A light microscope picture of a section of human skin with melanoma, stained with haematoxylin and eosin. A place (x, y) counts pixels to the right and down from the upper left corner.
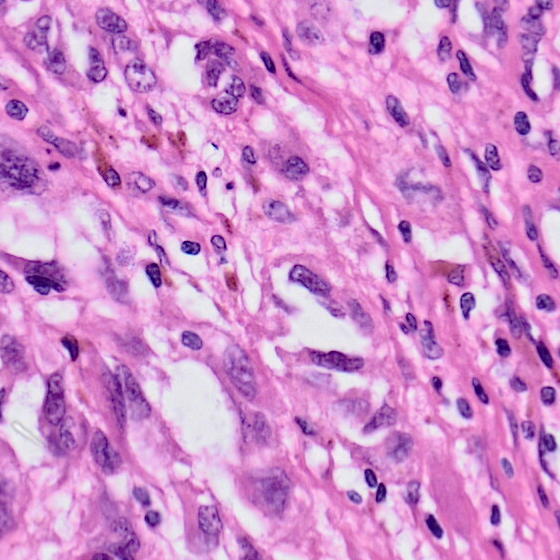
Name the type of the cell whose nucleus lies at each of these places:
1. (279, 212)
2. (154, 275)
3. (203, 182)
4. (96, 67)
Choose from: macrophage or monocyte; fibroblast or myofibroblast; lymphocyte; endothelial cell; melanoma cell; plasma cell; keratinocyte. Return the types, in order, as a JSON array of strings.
["macrophage or monocyte", "plasma cell", "lymphocyte", "melanoma cell"]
